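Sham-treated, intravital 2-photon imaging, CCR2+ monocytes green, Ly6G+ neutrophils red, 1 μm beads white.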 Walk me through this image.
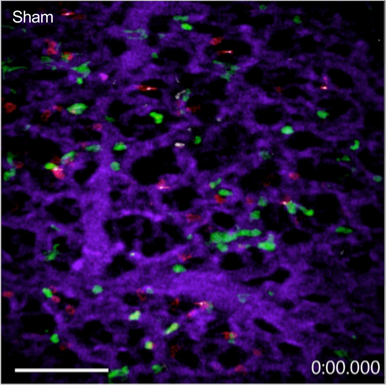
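A purple network of lung capillaries encloses dark, rounded alveolar spaces, with a broader purple vessel running across the field. Red cells are sparse and small, lying apart from one another rather than in rows. Few white dots are seen in the vessels.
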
